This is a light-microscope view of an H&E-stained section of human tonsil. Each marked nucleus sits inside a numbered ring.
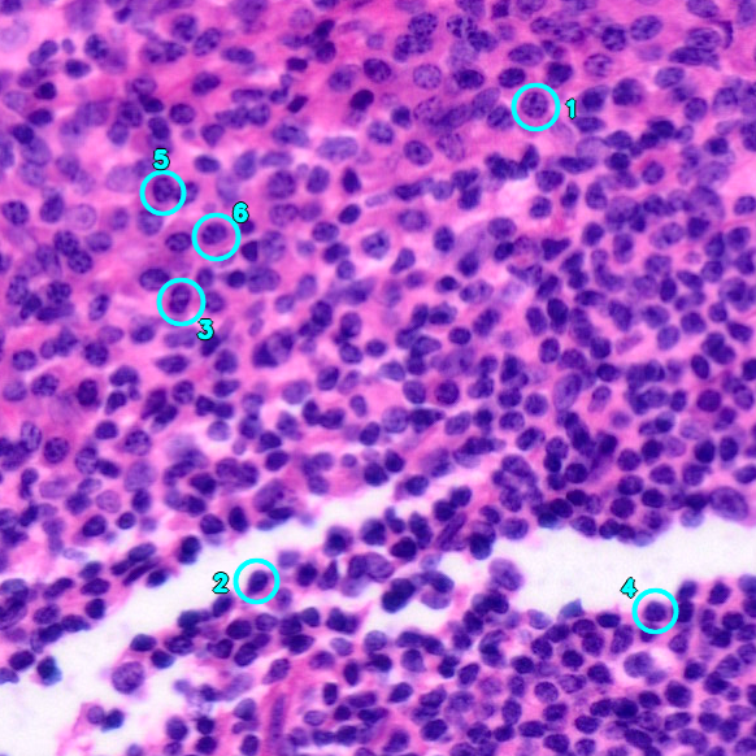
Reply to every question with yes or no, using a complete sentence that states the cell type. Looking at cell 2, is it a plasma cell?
No, number 2 is not a plasma cell; it is a small lymphocyte.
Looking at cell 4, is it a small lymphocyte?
Yes, as for number 4, the cell is a small lymphocyte.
